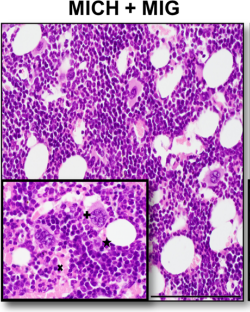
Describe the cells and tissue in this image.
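This is a section of bone marrow with densely packed small hematopoietic cells with dark purple round nuclei. Scattered among them are round, clear, empty spaces of fat globules with smooth edges. Several very large cells with abundant pink cytoplasm, the megakaryocytes, lie between the smaller cells, and pink-lined vascular spaces are also visible.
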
